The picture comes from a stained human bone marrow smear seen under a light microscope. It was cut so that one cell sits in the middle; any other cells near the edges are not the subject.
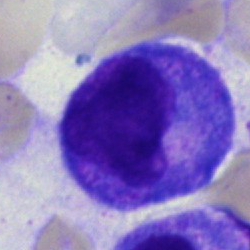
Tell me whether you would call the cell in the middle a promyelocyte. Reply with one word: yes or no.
yes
